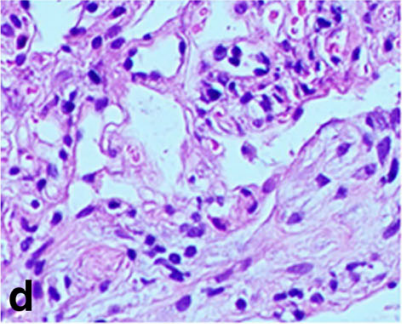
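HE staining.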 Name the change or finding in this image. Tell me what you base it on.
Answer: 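Thickening of the septa. Alveolar walls are widened with loose pale pink material. Air spaces contain faint pale pink material.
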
